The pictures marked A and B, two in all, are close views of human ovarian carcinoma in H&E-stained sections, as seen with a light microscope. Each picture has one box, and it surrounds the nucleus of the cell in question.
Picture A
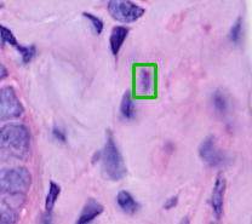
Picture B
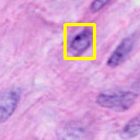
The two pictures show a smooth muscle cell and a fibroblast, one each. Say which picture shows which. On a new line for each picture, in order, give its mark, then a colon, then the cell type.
A: smooth muscle cell
B: fibroblast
